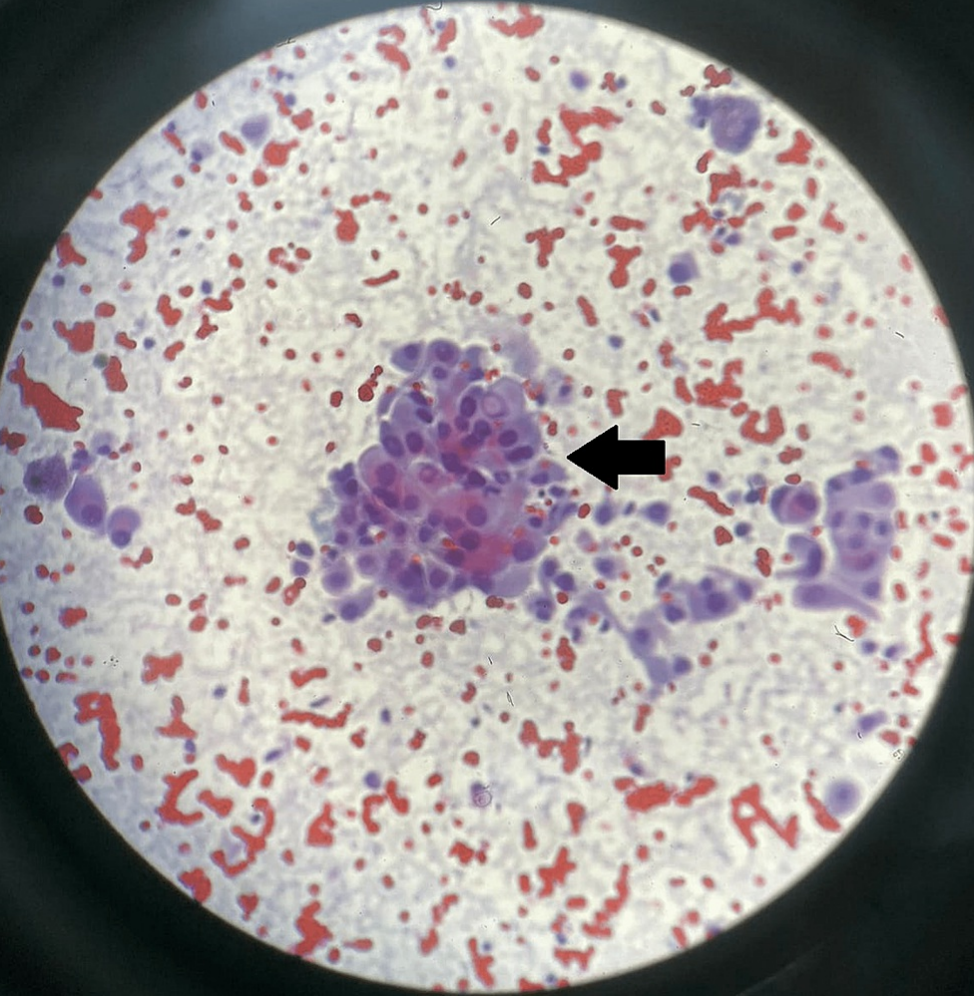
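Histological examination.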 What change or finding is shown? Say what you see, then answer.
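Nuclear overlapping. In the central cluster, nuclei crowd and overlap one another. Enlarged nuclei lie closely packed in a three-dimensional group.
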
